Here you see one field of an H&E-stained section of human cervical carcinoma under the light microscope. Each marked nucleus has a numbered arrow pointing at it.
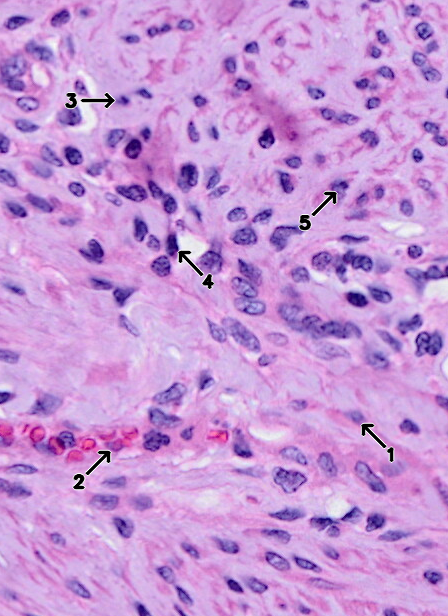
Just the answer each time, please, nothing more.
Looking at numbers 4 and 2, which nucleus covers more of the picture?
4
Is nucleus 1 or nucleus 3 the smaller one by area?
3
